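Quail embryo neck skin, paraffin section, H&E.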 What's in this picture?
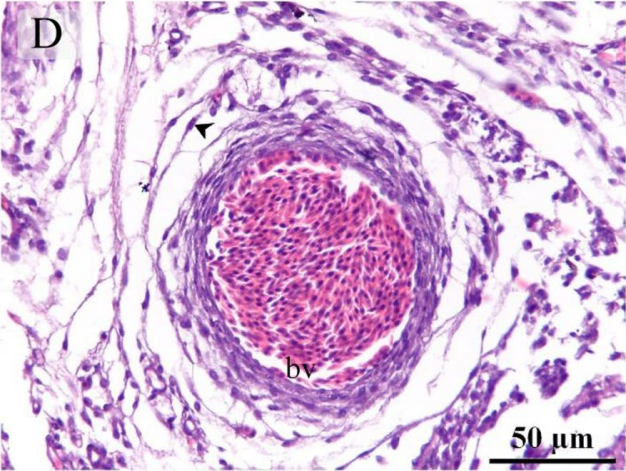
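The wall is made of several concentric layers of flattened cells with dark purple, spindle-shaped nuclei. Around it lies loose, pale connective tissue in which thin, elongated cells with long slender processes run roughly parallel to the vessel wall.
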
